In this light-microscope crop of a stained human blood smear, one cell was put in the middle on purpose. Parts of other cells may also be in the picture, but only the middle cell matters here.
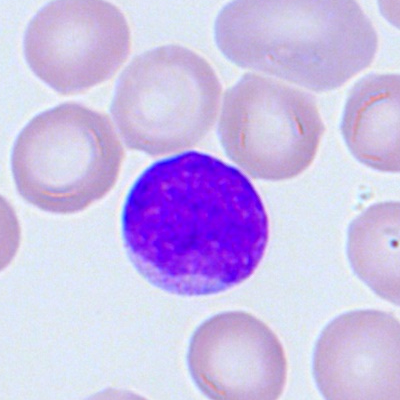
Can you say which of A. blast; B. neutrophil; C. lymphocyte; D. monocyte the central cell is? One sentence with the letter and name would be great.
Option A is correct; the cell in the middle is a blast.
